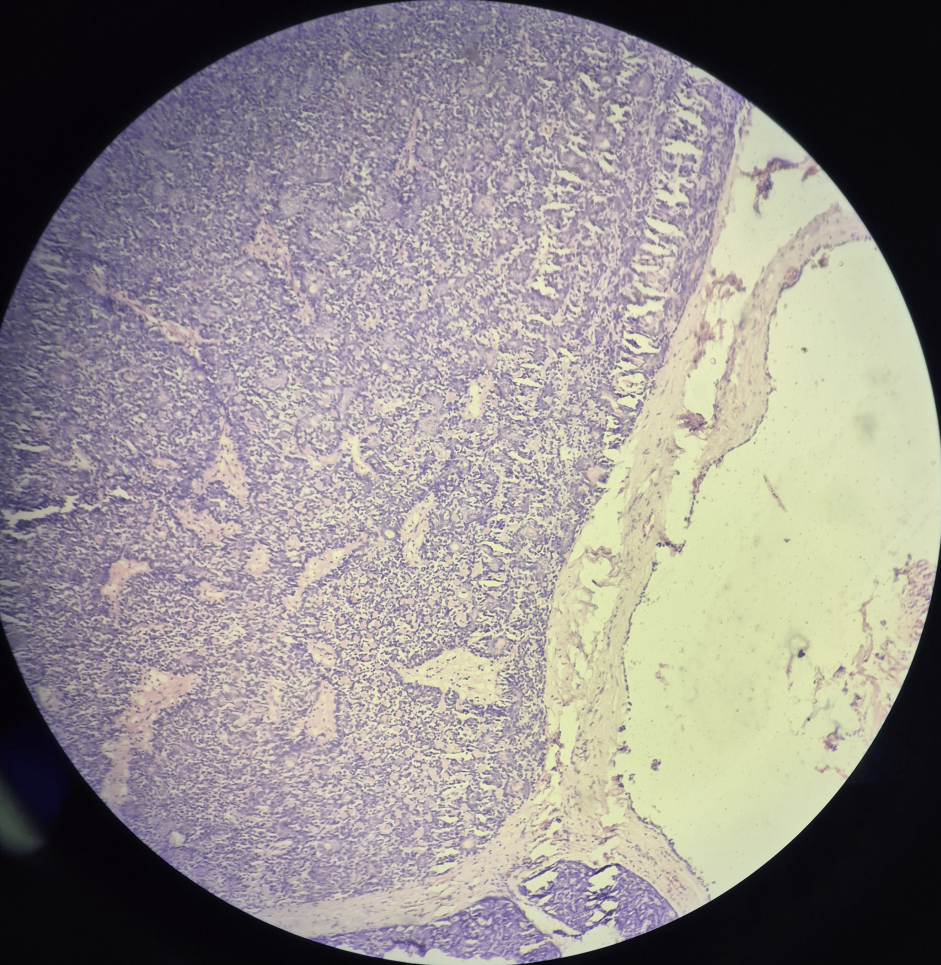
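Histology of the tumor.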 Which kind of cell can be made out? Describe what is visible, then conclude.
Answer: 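Densely packed small cells with dark purple nuclei and scant cytoplasm fill most of the field. That points to this answer: basaloid cells.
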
